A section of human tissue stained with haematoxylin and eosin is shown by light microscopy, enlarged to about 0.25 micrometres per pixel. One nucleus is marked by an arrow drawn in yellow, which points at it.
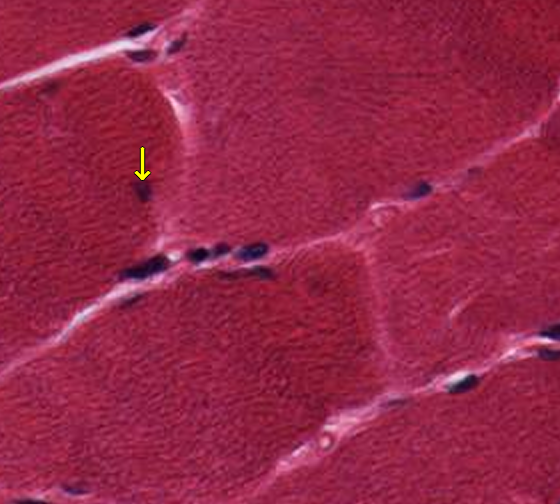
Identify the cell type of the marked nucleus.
skeletal muscle fibre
